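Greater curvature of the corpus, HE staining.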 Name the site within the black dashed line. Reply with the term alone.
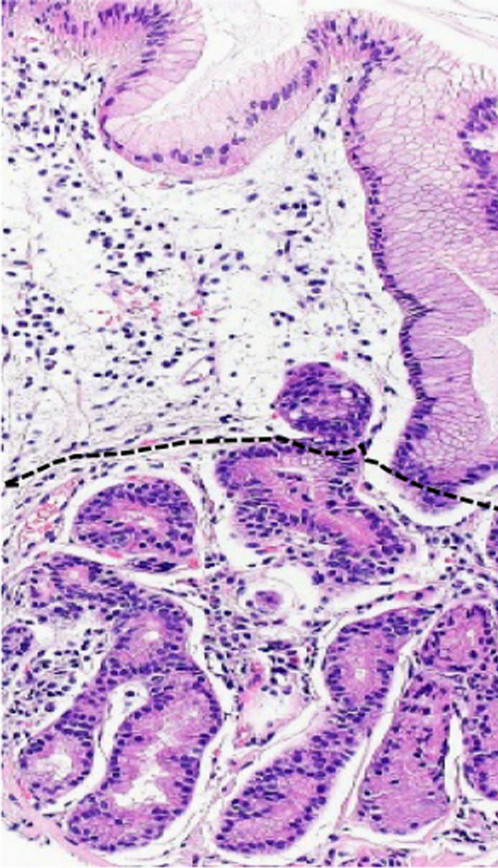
The boundary between the gastric pit and gastric gland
